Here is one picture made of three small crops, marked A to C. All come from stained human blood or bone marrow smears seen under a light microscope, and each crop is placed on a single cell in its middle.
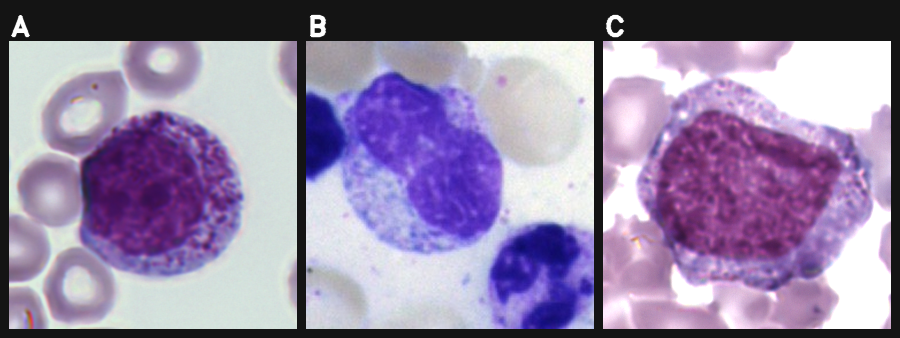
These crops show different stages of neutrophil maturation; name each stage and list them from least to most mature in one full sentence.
The least to most mature ordering of the crops is crop C (a promyelocyte), crop A (a myelocyte) and crop B (a metamyelocyte).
